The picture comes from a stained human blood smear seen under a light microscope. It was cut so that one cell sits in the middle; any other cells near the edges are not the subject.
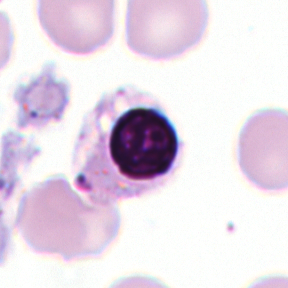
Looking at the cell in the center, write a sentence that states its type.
The identification for the central cell is a normoblast.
